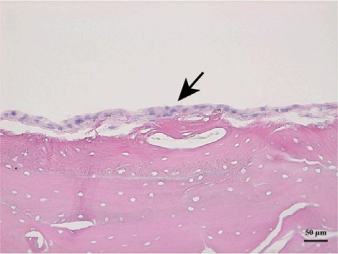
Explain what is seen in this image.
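A pink, dense matrix with scattered small empty lacunae and a few larger clear channels fills most of the field. Along its upper surface lies a thin, continuous layer of cells with purple nuclei and pale cytoplasm, one to a few cells thick, partly lifted from the matrix below.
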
